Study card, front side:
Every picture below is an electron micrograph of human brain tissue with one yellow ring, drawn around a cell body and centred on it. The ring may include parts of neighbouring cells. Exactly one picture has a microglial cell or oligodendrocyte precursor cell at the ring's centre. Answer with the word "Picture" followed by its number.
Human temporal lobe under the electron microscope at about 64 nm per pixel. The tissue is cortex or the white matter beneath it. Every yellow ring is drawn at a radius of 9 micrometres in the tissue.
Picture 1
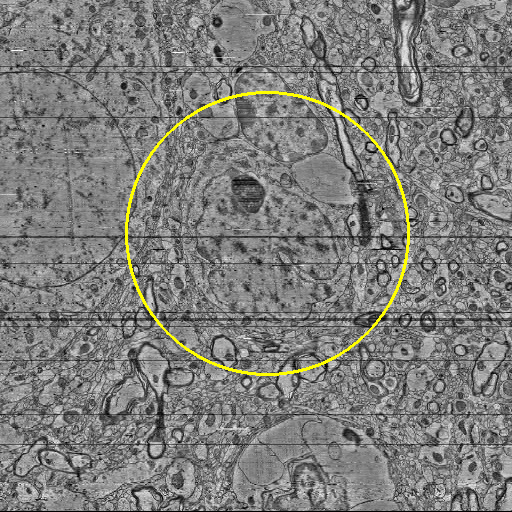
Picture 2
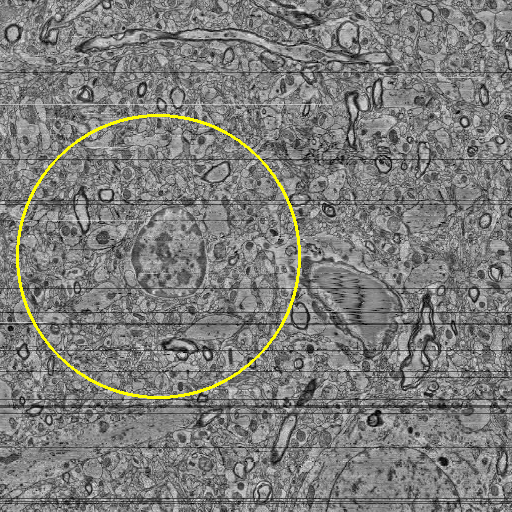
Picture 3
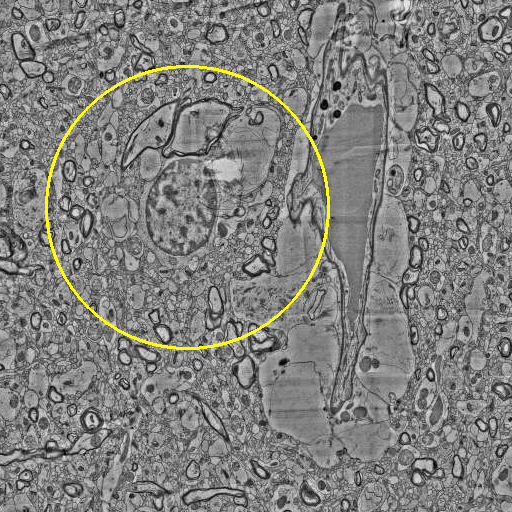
Picture 2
